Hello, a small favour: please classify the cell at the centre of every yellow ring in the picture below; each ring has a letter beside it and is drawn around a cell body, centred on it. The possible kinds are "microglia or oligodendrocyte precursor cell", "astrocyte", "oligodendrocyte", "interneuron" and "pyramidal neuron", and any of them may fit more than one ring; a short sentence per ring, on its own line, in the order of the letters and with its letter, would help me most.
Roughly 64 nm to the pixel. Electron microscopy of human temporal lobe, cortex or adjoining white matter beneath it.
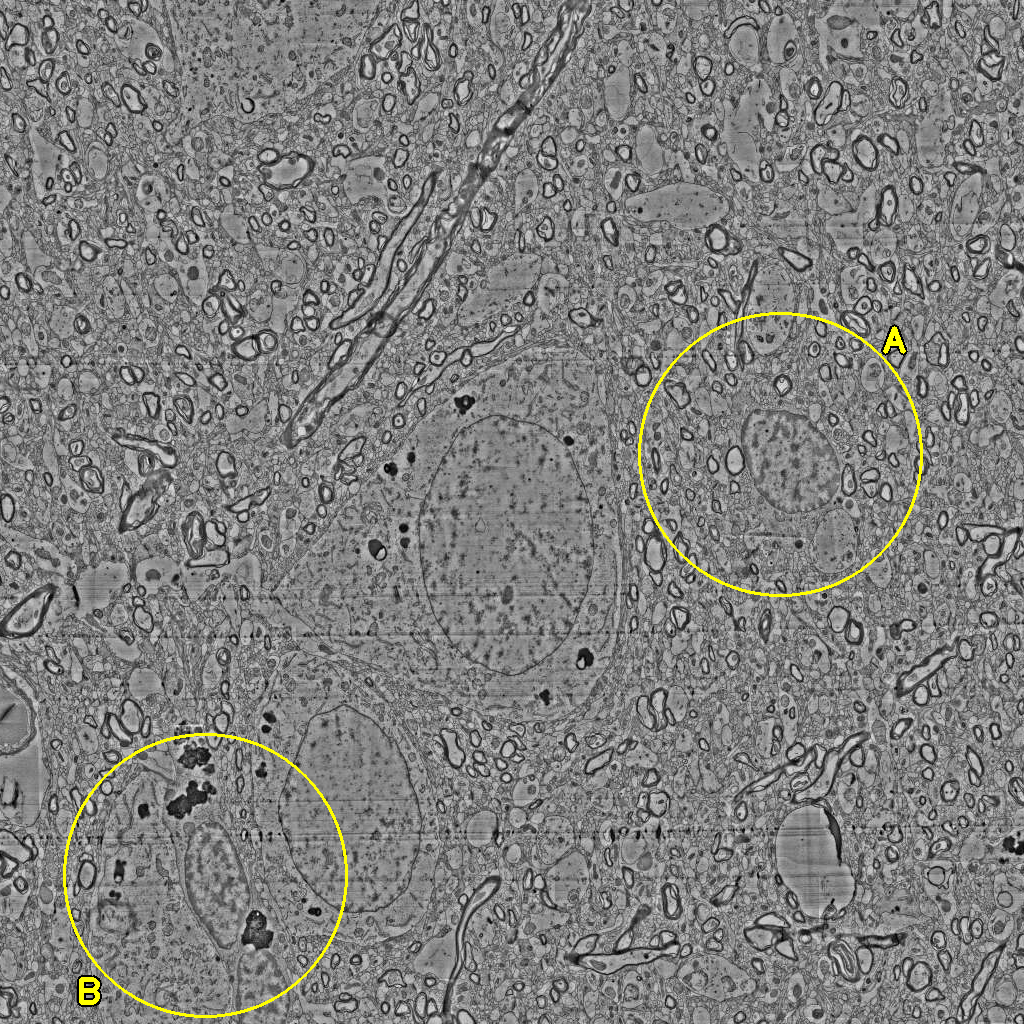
The centre of ring A falls on an oligodendrocyte.
The centre of ring B falls on an oligodendrocyte.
